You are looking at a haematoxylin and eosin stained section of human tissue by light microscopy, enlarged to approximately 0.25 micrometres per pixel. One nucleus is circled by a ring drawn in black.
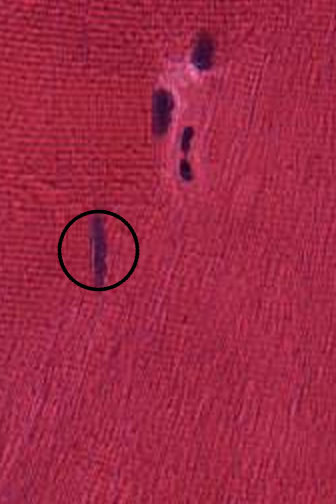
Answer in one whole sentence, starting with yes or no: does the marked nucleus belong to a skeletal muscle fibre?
Yes, in the picture the marked nucleus belongs to a skeletal muscle fibre.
